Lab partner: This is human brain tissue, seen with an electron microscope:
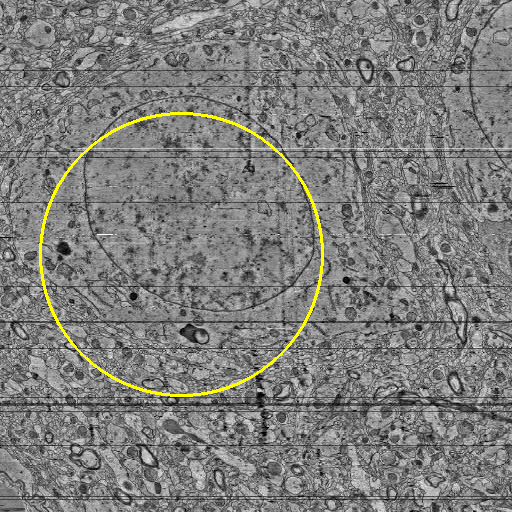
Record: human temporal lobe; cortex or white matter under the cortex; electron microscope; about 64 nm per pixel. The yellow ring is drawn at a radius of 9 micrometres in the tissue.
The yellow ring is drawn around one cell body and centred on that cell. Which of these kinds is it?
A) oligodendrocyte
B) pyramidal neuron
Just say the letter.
B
